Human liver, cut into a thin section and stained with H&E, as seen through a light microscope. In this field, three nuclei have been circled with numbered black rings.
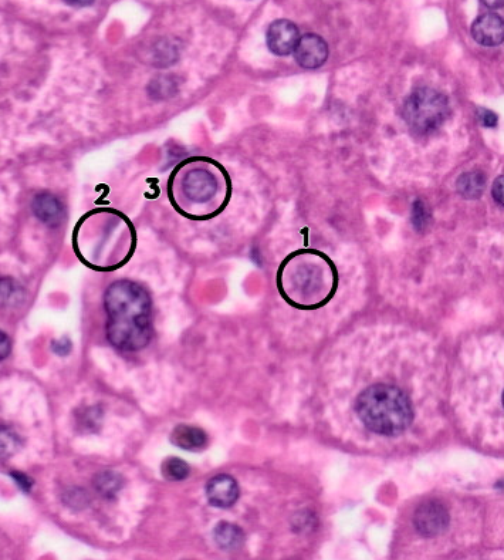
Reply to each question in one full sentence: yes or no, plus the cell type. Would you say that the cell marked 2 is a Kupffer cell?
Yes, the cell corresponding to number 2 is a Kupffer cell.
